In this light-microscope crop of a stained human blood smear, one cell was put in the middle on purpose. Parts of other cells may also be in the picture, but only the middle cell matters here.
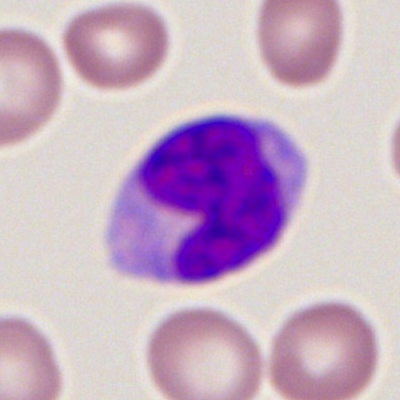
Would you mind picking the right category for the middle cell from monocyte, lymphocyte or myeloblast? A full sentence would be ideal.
Looking at the middle of the crop, the cell there is a monocyte.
